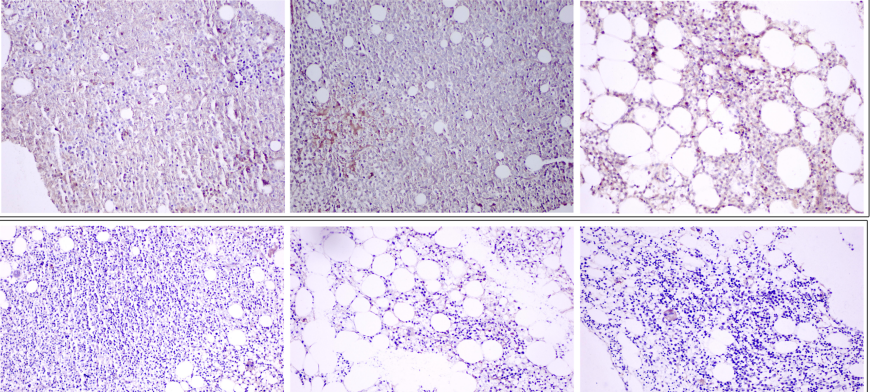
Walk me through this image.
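Six fields of densely cellular tissue show many small round cells with blue-stained nuclei, packed between large round empty vacuoles of fat cells. In the upper three fields a diffuse light brown stain lies over the cells, deeper in patches, while the lower three show mostly blue nuclei with little brown. This is bone marrow, with blood-forming cells and interspersed fat.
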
